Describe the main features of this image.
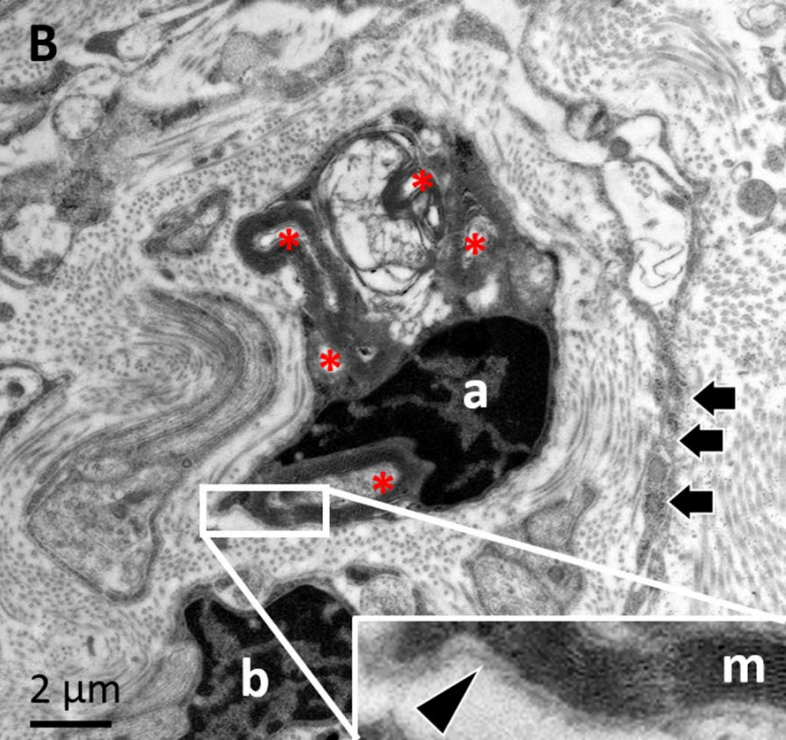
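Transmission electron micrograph of a nerve bundle showing a central cluster of axons enveloped by nerve-accompanying cells. One cell has a large, very dark, irregular nucleus, and its cytoplasm extends around several small axon profiles, each ringed by a dark layered myelin sheath. A second dark nucleus lies below this cluster. The whole cluster is bounded on its outer surface by a thin grey basement membrane, seen enlarged in an inset. Around it lie fields of finely dotted collagen fibrils cut across and in length, and on the right a thin elongated cellular layer runs along the bundle.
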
